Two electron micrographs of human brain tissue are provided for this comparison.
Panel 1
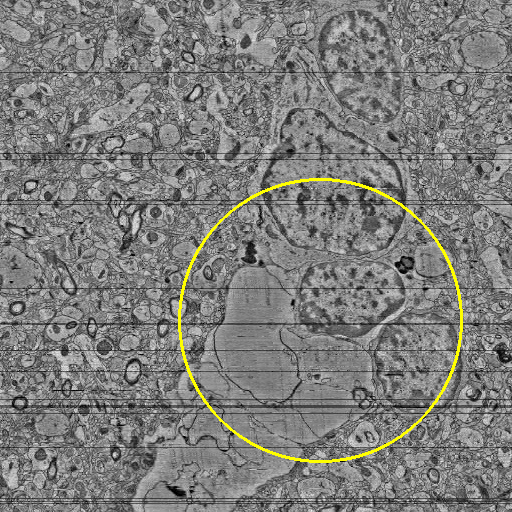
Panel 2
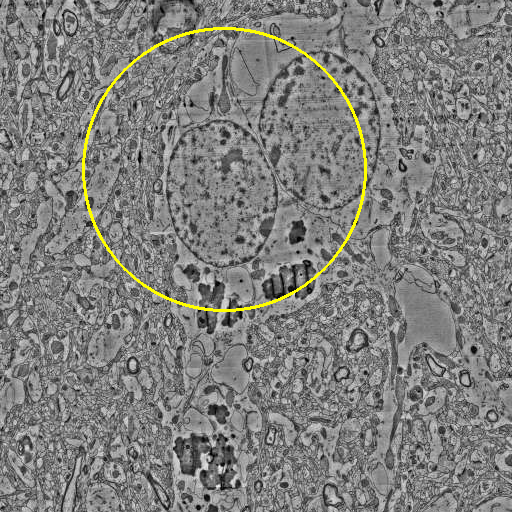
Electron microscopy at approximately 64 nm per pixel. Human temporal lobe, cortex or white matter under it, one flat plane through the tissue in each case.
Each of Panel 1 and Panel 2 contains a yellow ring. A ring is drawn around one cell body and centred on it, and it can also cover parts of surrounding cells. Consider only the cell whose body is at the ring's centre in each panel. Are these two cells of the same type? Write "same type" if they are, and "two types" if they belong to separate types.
two types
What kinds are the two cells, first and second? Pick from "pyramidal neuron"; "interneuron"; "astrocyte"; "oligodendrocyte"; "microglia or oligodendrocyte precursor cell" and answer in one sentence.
The second picture holds an astrocyte in its ring, and the first holds a microglial cell or oligodendrocyte precursor cell.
